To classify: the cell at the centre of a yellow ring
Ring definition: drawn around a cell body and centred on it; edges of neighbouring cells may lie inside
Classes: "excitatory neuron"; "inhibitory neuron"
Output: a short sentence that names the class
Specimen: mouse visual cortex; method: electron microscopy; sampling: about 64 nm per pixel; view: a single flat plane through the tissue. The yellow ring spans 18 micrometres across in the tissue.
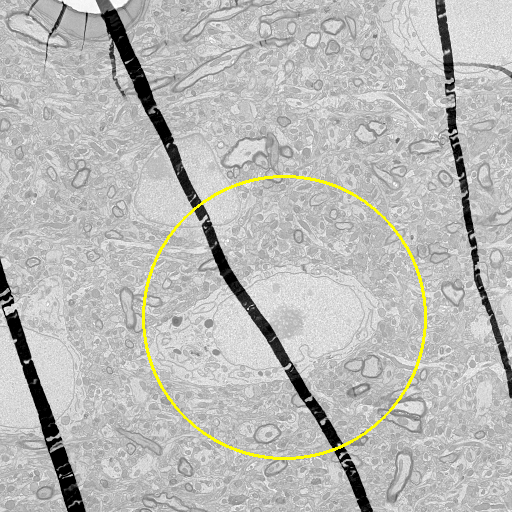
The ringed cell is an inhibitory neuron.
